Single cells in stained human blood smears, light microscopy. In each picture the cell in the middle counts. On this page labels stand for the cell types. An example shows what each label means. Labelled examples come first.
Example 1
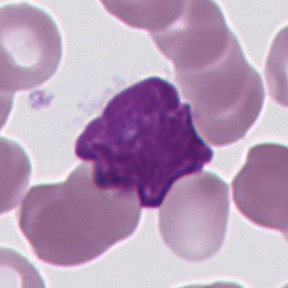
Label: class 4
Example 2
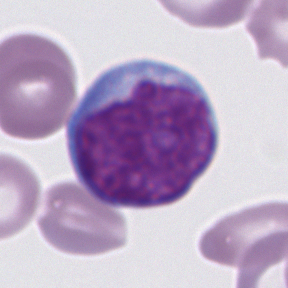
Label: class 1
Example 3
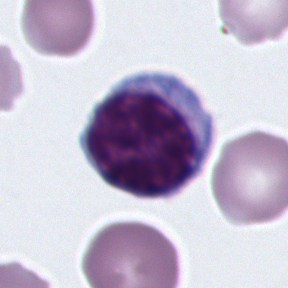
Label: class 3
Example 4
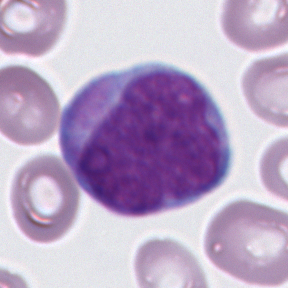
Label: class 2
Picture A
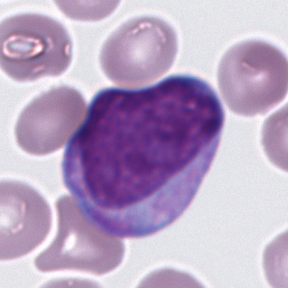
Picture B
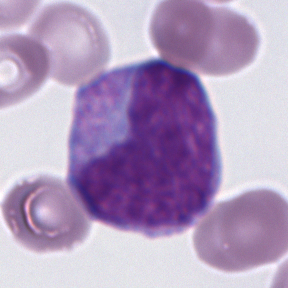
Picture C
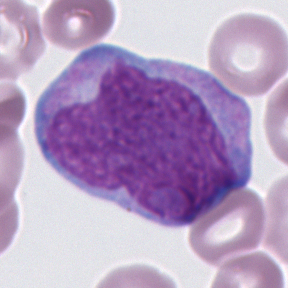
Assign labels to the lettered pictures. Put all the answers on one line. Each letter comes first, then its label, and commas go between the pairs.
A class 2, B class 2, C class 2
